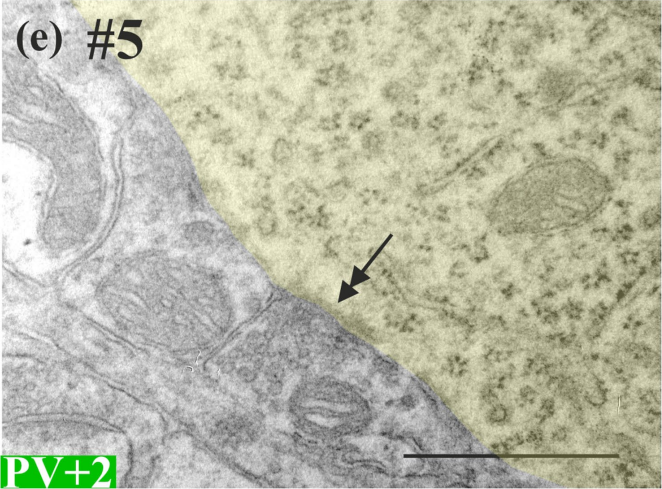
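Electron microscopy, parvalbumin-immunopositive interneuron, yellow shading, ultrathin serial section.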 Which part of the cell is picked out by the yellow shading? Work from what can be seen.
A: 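The yellow region is large and fills most of the panel. Its cytoplasm is packed with ribosome clusters and contains a mitochondrion.
Soma.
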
